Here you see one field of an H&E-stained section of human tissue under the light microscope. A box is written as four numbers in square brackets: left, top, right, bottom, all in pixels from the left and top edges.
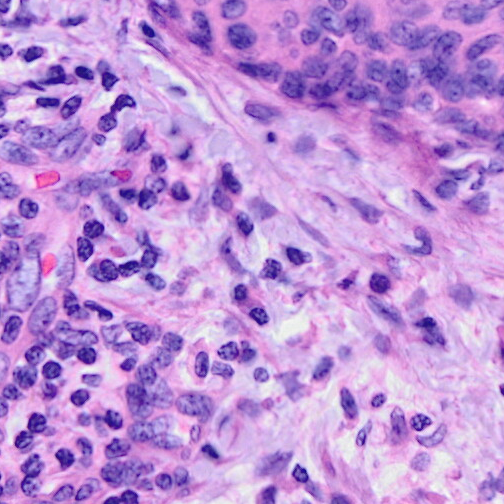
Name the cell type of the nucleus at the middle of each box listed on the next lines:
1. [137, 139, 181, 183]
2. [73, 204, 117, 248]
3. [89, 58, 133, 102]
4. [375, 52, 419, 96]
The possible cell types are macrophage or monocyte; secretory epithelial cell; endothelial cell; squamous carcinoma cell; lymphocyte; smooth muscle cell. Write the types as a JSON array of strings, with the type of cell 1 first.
["lymphocyte", "lymphocyte", "lymphocyte", "squamous carcinoma cell"]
